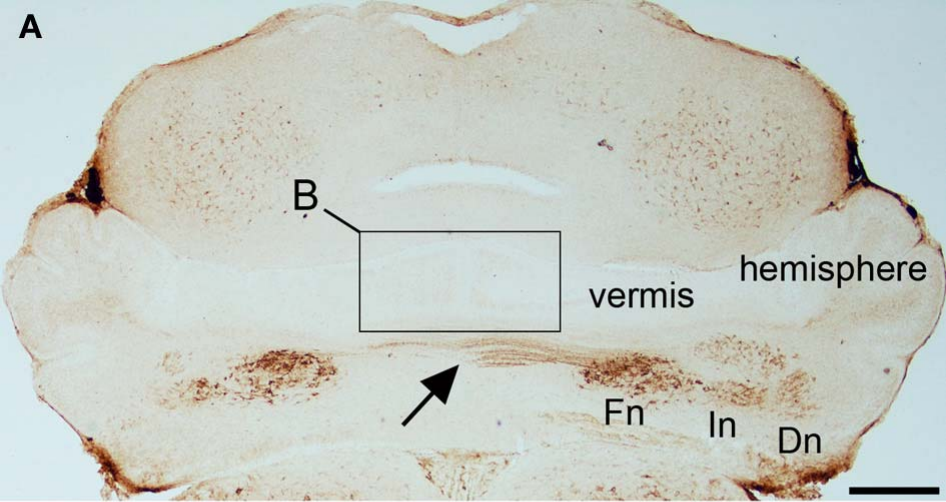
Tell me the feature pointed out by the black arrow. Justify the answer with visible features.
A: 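Commissural axons. The arrow points to a band of fine brown-stained fibres crossing the midline. The fibre band runs horizontally between the stained clusters on either side.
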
